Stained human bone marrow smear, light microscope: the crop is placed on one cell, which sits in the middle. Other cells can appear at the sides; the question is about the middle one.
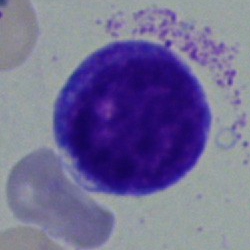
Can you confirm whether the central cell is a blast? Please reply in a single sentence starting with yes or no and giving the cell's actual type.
Yes, this is a blast, the cell in the middle of the crop.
